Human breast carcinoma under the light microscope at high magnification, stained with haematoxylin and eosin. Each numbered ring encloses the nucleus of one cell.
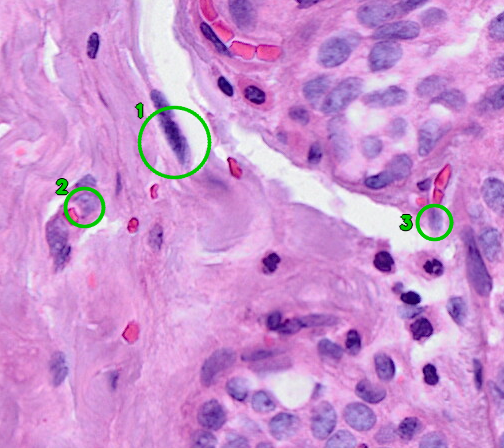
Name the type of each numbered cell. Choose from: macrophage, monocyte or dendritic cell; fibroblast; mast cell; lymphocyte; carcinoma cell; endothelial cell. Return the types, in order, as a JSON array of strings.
["fibroblast", "endothelial cell", "endothelial cell"]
